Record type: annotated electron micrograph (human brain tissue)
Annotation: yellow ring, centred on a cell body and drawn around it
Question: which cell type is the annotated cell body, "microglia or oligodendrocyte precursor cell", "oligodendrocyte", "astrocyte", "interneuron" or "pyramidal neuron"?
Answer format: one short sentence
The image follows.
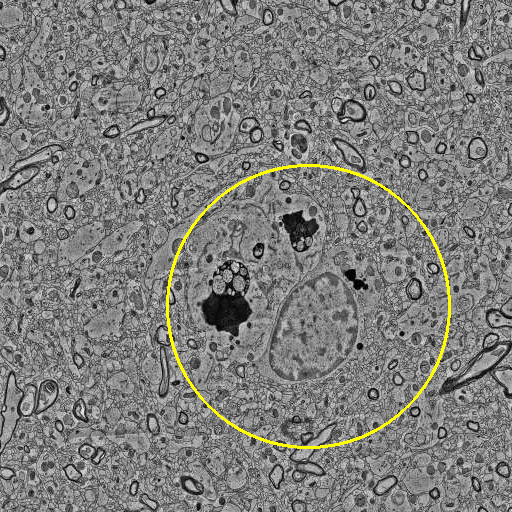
The annotated cell body is that of an oligodendrocyte.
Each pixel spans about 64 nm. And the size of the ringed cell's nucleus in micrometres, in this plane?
The nucleus of the ringed cell is approximately 7 by 5 micrometres in this plane.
